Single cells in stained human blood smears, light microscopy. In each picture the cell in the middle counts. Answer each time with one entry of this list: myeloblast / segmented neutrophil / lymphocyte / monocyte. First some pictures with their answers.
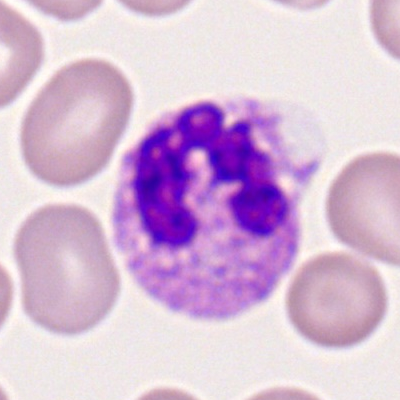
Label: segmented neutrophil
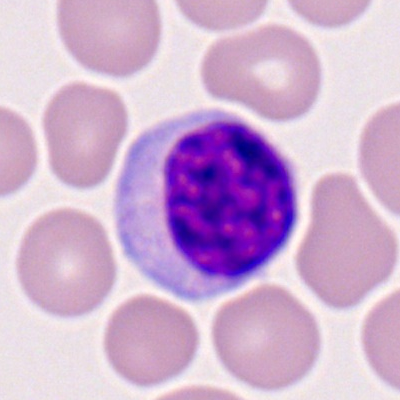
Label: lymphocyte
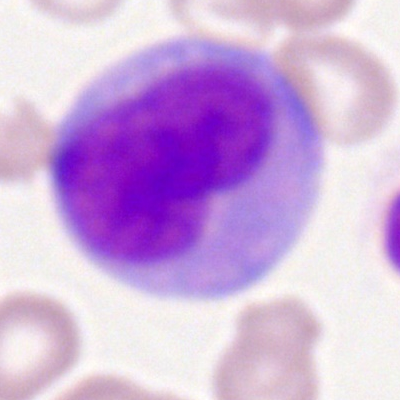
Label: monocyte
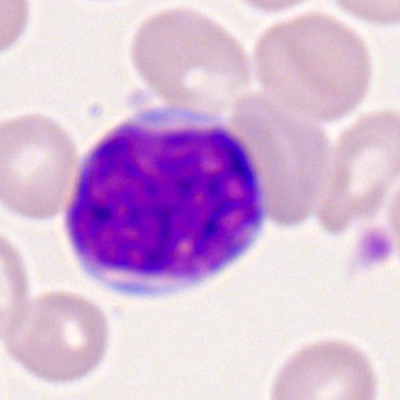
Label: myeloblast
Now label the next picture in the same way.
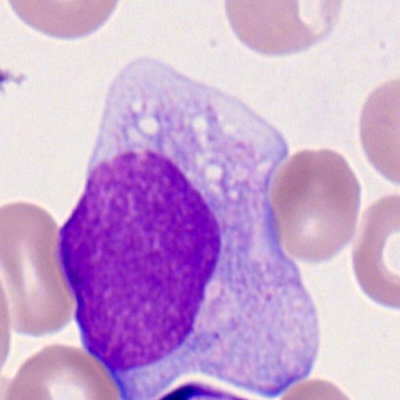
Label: monocyte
